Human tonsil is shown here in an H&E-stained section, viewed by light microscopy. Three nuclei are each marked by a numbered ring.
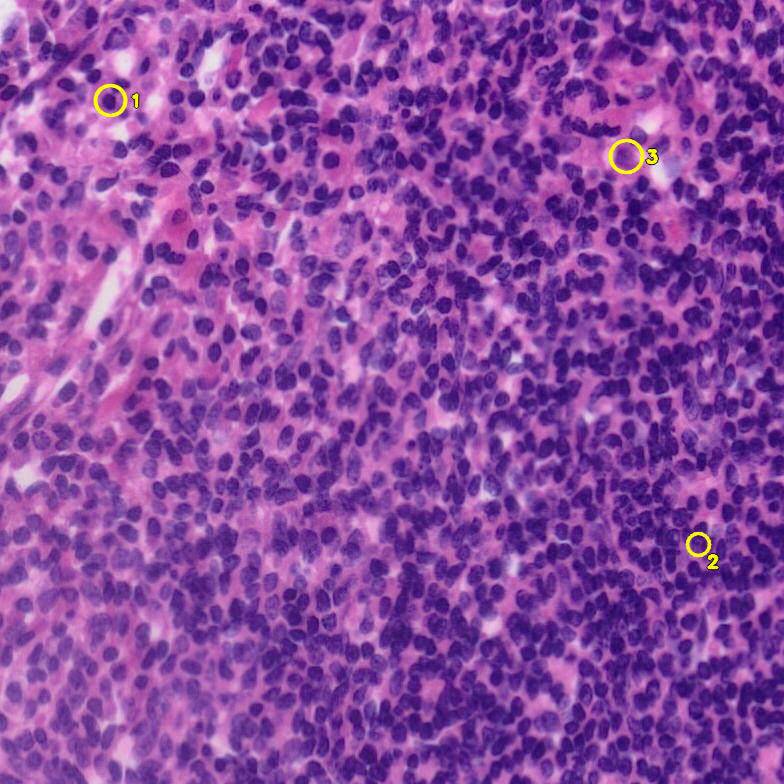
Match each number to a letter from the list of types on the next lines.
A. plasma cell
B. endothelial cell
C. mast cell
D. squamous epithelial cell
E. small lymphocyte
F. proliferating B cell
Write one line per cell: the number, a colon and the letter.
1: A
2: E
3: B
